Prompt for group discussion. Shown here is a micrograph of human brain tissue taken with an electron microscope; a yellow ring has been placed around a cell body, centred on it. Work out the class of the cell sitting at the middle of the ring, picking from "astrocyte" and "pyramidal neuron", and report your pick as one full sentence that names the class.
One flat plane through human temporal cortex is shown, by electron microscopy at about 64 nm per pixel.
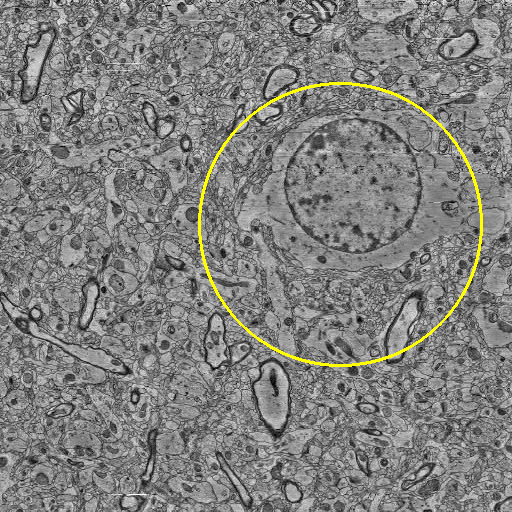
The cell sitting at the middle of the yellow ring is an astrocyte.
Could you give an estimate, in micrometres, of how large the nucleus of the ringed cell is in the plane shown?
Roughly 9 micrometers across in this plane.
